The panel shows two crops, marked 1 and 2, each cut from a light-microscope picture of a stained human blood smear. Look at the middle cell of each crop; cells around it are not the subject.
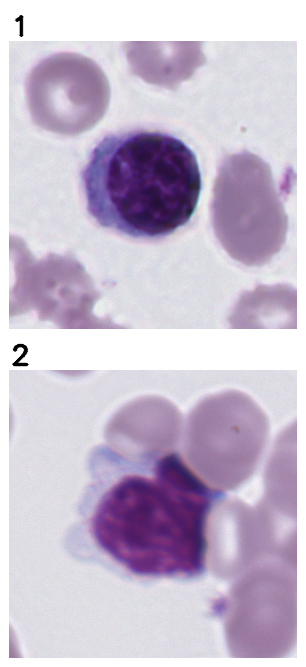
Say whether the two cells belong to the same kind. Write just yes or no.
no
